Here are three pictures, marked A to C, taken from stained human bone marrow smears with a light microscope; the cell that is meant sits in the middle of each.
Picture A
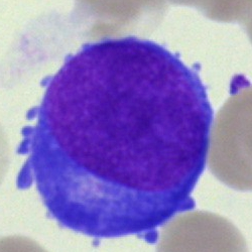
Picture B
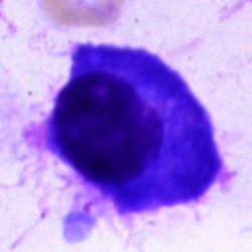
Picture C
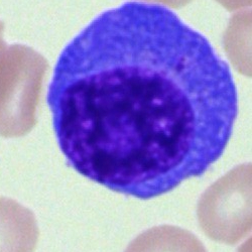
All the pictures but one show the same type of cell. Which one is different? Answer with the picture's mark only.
A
